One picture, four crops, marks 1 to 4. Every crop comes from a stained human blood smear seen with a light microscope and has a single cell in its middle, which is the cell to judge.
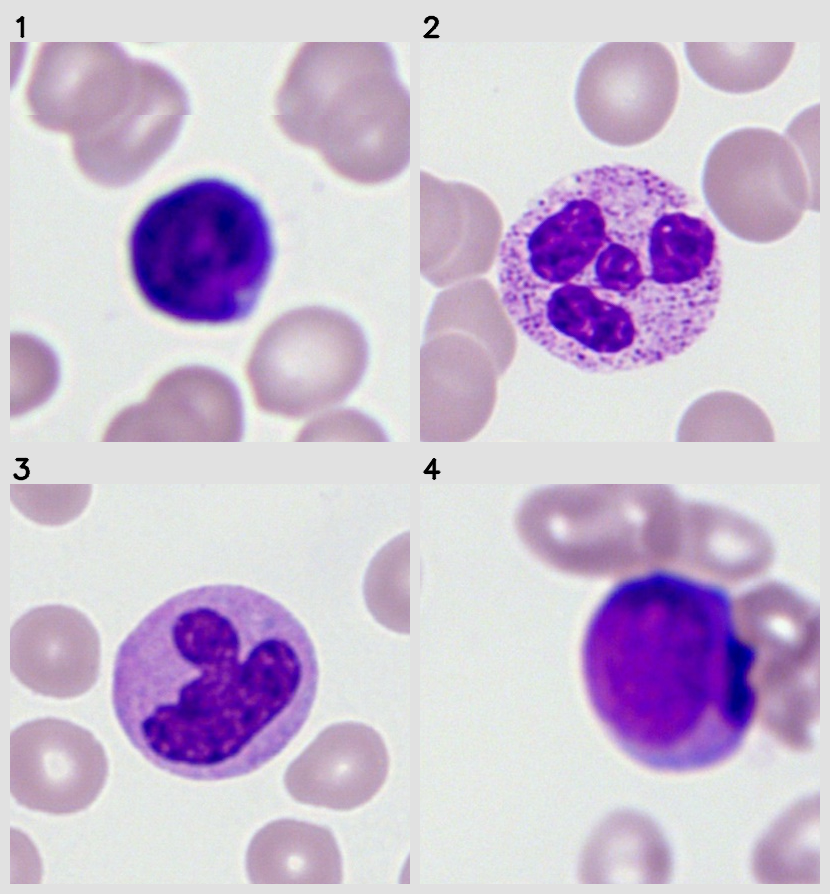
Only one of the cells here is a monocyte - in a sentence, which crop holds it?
Crop 3 is the crop in which a monocyte is shown.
